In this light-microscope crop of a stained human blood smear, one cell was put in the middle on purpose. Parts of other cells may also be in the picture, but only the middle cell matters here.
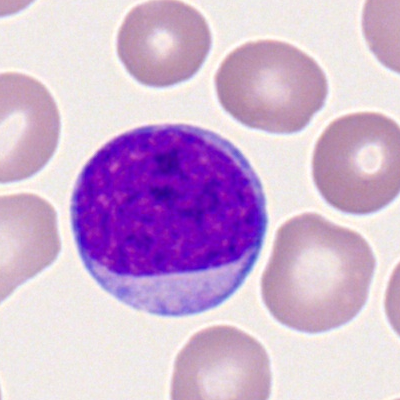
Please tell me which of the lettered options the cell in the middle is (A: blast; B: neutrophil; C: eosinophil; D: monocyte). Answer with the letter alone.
A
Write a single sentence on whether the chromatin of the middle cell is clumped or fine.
This nucleus has coarsely clumped chromatin.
